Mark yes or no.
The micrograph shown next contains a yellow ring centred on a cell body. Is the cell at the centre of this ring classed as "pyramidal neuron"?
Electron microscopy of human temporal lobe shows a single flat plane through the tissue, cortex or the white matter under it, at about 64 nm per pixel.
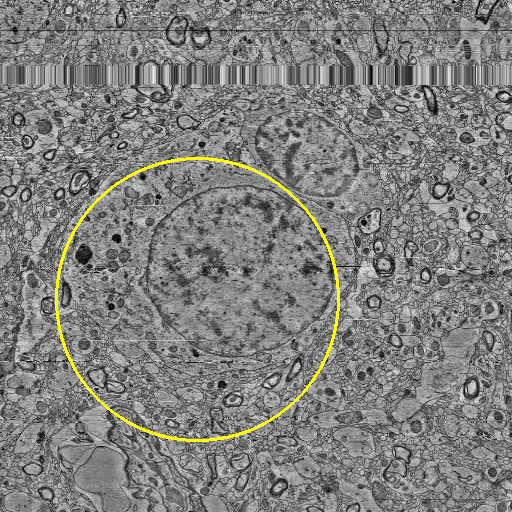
yes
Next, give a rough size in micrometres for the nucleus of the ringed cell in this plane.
About 12 micrometres across, as seen in this plane.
